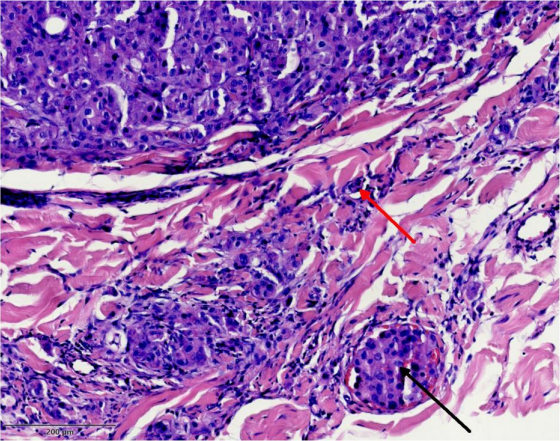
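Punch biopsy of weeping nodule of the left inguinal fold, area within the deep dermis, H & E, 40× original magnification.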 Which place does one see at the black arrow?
intravascular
